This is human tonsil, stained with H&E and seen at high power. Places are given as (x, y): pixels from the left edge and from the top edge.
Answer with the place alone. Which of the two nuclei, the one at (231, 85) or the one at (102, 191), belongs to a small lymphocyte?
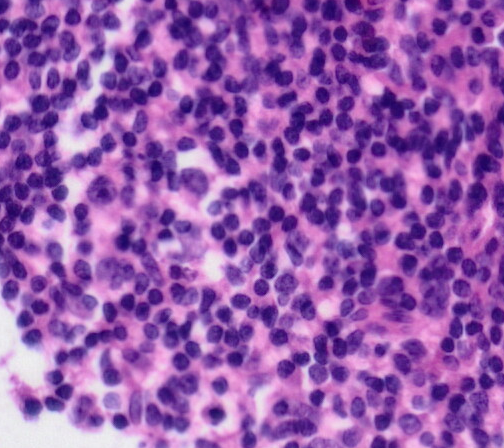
(231, 85)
